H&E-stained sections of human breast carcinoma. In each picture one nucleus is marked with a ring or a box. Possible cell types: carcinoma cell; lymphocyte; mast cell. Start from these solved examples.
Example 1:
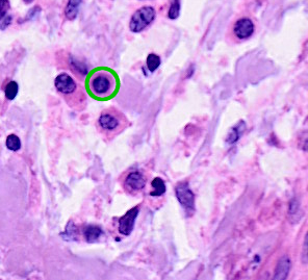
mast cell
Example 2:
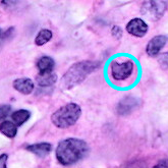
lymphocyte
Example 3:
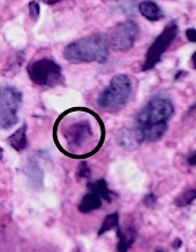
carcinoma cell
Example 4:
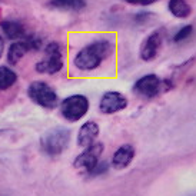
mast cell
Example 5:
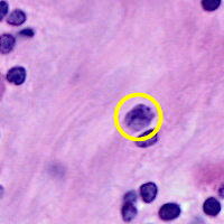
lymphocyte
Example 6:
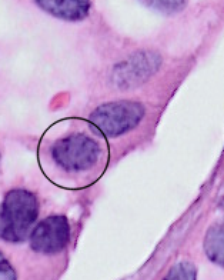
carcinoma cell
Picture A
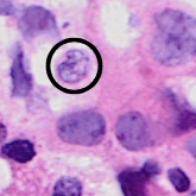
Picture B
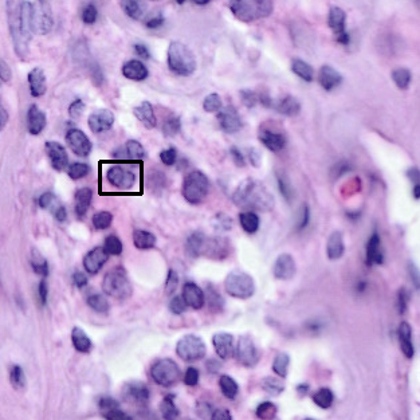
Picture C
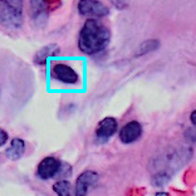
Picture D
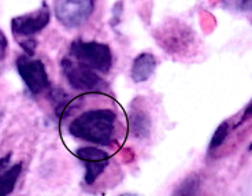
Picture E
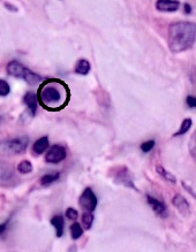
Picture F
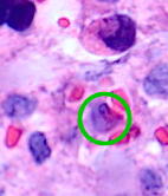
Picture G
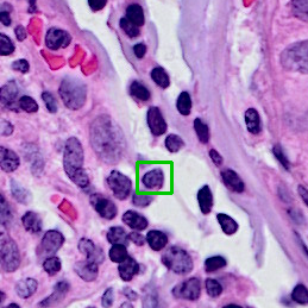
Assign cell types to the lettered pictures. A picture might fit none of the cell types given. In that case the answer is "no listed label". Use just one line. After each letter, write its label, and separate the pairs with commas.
A carcinoma cell, B lymphocyte, C lymphocyte, D carcinoma cell, E lymphocyte, F no listed label, G lymphocyte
